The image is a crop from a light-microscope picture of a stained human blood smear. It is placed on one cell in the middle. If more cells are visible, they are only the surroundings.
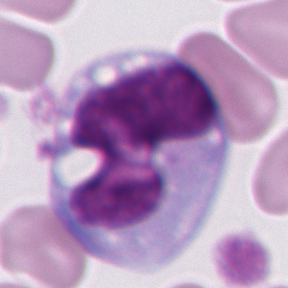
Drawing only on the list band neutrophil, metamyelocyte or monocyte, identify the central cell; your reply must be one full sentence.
The target cell in the middle of the crop is a monocyte.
